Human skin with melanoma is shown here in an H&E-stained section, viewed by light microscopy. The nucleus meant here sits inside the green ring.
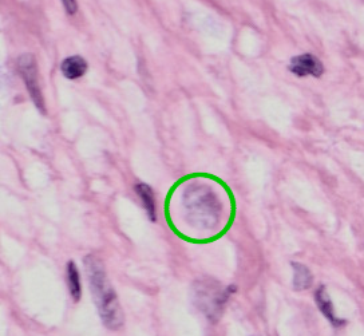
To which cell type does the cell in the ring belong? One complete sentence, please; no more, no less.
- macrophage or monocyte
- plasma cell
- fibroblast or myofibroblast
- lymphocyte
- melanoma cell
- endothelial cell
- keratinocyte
In cellular terms, the cell in the ring is a fibroblast or myofibroblast.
